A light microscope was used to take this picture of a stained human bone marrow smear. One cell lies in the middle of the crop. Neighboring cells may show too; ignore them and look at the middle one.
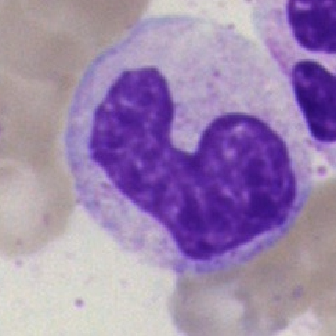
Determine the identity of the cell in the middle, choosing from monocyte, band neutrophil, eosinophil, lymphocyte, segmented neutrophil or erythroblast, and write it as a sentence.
Framed in the middle of the crop is a band neutrophil.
